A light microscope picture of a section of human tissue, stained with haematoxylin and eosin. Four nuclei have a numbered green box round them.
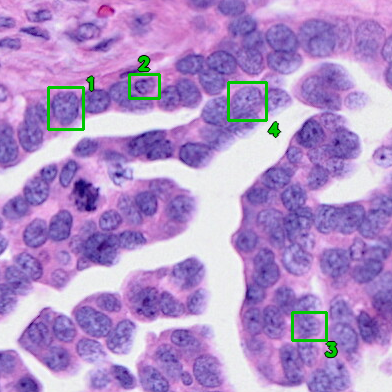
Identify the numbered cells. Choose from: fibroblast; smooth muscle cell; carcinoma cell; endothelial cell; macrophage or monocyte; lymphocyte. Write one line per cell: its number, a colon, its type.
1: carcinoma cell
2: macrophage or monocyte
3: carcinoma cell
4: carcinoma cell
